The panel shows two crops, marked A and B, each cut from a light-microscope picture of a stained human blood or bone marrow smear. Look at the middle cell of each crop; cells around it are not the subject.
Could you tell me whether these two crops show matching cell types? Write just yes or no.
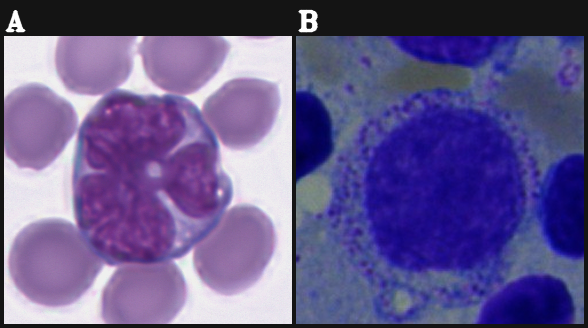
no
